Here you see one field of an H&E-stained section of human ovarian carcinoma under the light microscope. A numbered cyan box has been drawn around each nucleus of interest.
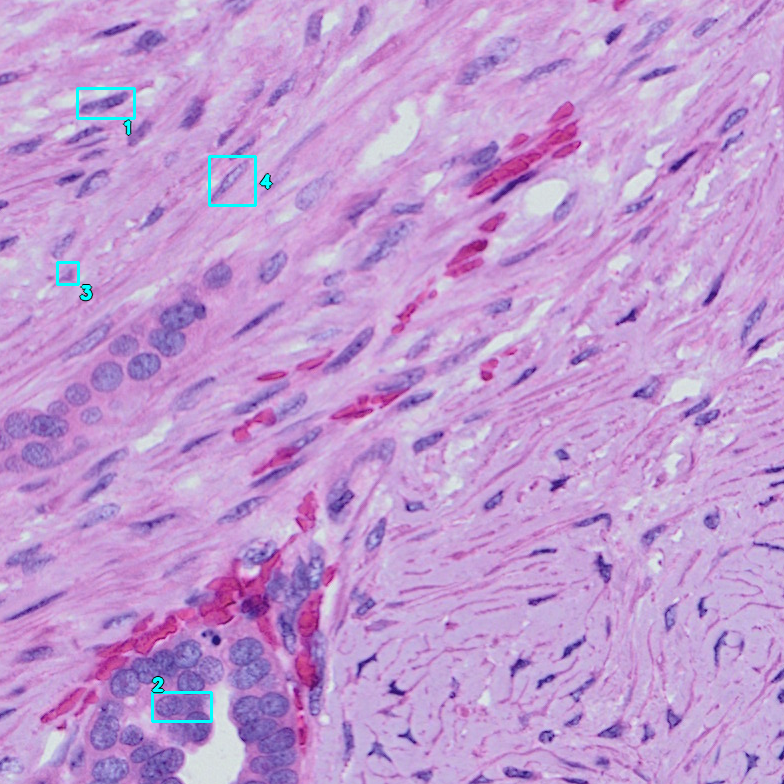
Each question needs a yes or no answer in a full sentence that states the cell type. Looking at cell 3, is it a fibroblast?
Yes, the cell whose nucleus carries number 3 is a fibroblast.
